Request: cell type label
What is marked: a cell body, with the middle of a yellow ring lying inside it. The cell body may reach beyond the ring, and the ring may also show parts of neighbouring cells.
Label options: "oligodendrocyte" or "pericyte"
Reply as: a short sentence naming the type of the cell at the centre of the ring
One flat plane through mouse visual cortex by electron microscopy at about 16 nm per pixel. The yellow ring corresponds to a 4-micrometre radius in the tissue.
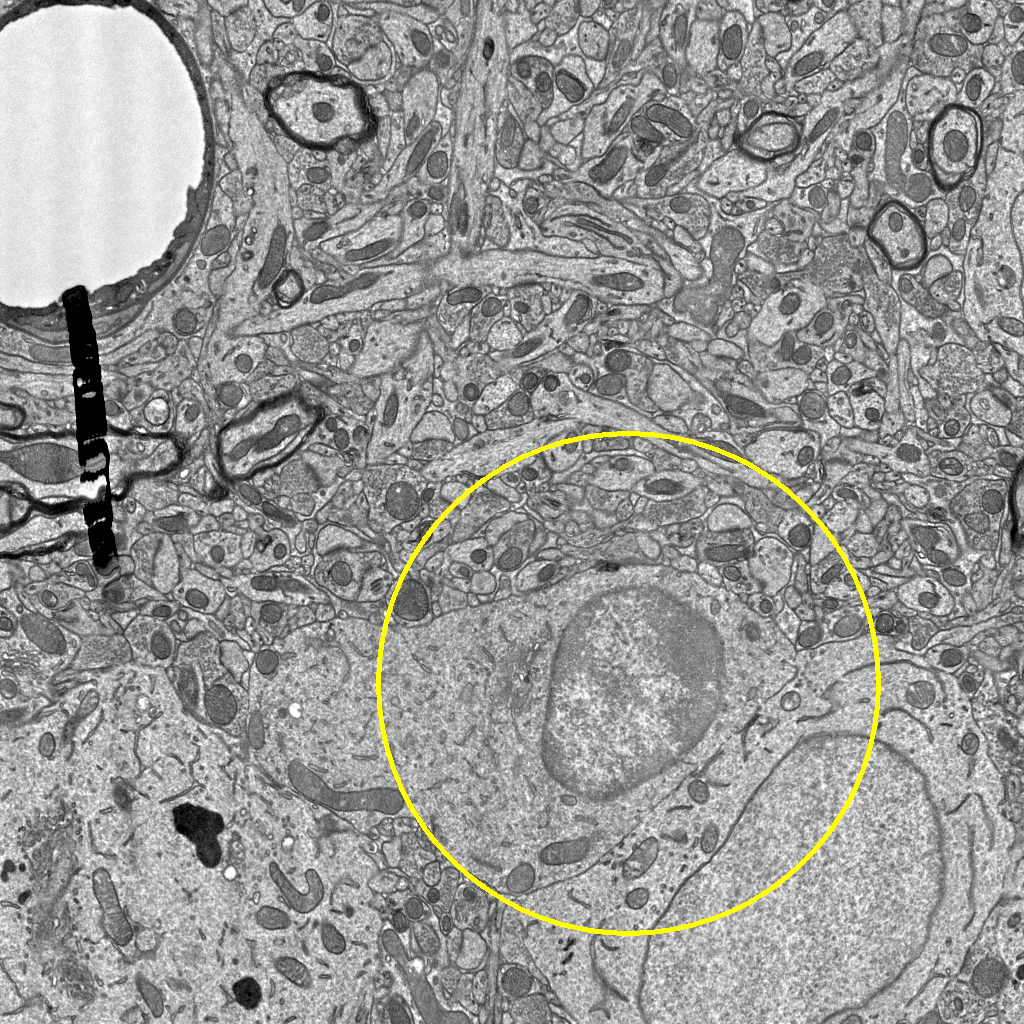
The marked cell body is that of an oligodendrocyte.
